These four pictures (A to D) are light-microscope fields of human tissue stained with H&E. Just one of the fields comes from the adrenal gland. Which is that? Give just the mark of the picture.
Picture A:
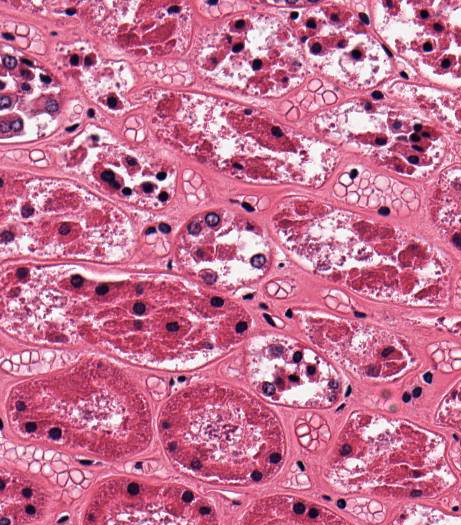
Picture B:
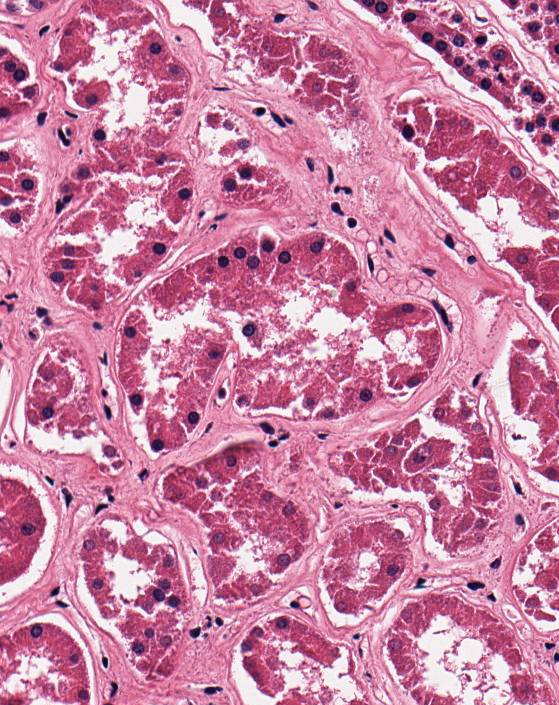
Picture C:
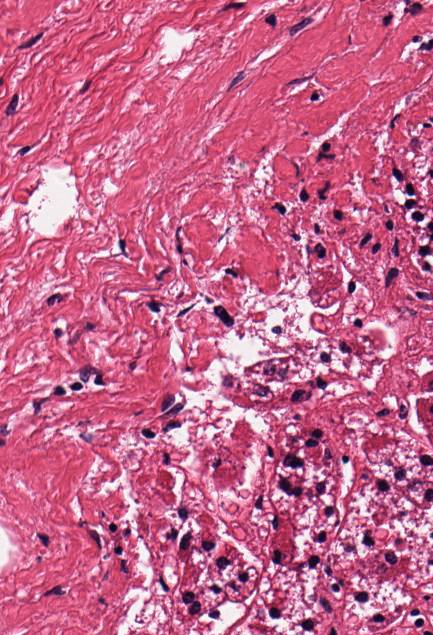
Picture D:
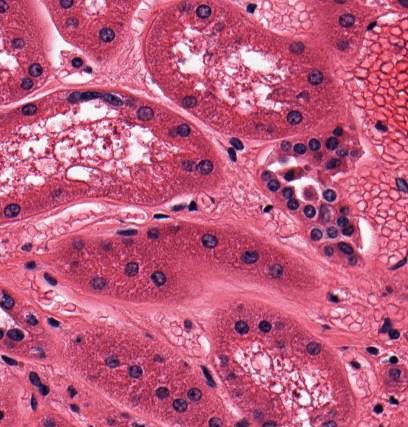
C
